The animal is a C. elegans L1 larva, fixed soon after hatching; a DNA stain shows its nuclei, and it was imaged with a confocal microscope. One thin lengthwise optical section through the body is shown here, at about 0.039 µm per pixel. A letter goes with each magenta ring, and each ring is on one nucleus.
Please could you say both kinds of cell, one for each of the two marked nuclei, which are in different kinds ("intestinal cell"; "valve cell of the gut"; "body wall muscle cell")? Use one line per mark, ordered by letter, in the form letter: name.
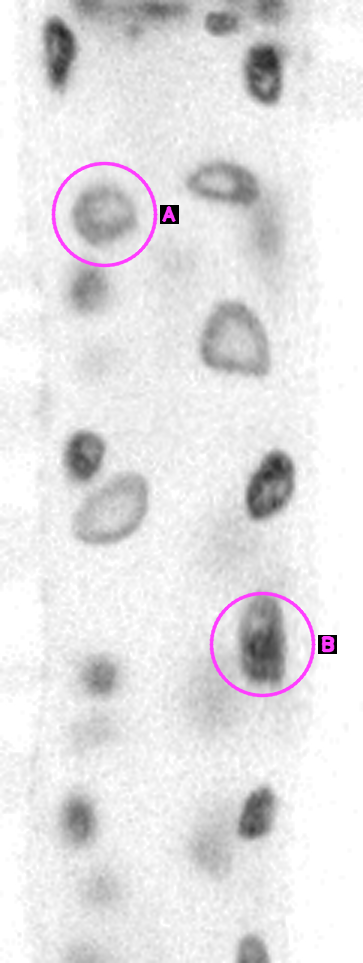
A: intestinal cell
B: body wall muscle cell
